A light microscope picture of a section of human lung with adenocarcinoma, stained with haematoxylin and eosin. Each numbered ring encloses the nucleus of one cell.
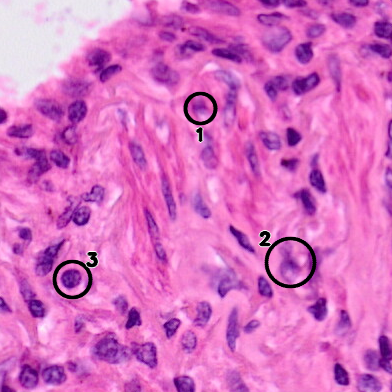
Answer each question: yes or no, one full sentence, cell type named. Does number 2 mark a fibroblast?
Yes, the cell corresponding to number 2 is a fibroblast.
